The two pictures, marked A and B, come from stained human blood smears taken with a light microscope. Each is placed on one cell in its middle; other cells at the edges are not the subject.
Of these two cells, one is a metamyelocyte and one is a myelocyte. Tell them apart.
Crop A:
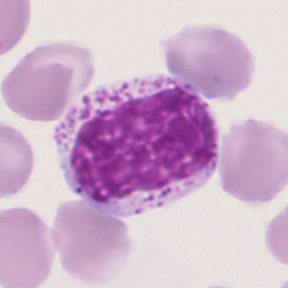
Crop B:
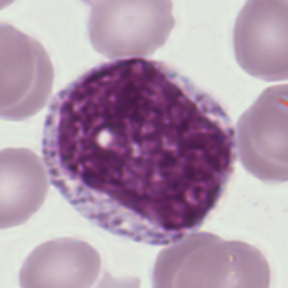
A: metamyelocyte
B: myelocyte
